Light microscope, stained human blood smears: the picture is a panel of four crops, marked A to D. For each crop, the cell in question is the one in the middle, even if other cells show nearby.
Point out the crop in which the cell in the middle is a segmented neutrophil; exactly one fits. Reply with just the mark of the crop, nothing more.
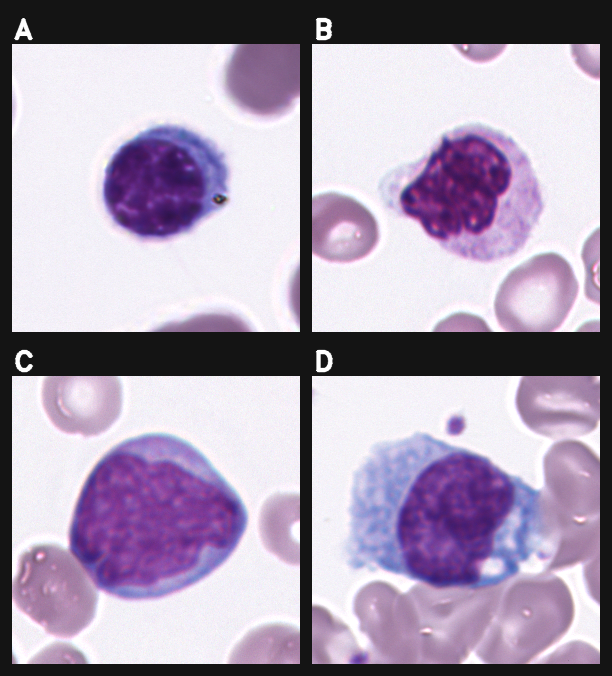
B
